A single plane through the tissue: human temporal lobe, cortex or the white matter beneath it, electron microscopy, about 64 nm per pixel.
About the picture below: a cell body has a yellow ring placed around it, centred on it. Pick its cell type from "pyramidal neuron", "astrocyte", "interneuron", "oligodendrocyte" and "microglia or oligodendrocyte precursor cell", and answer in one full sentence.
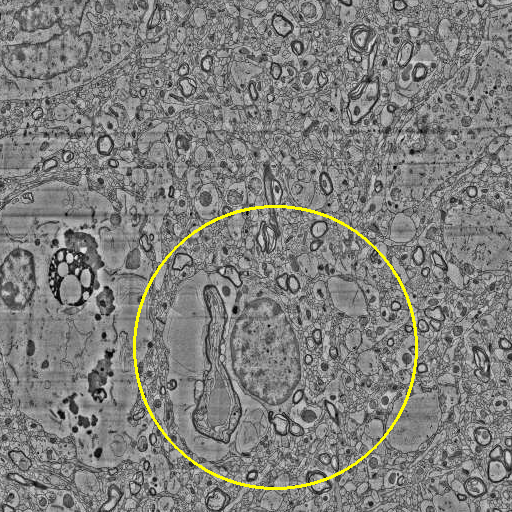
In the picture, an oligodendrocyte is the cell sitting at the centre of the yellow ring.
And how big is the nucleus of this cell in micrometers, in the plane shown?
In this plane, approximately 7 by 4 micrometers, and clearly longer than it is wide.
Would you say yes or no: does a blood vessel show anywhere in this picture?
Yes, one appears.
